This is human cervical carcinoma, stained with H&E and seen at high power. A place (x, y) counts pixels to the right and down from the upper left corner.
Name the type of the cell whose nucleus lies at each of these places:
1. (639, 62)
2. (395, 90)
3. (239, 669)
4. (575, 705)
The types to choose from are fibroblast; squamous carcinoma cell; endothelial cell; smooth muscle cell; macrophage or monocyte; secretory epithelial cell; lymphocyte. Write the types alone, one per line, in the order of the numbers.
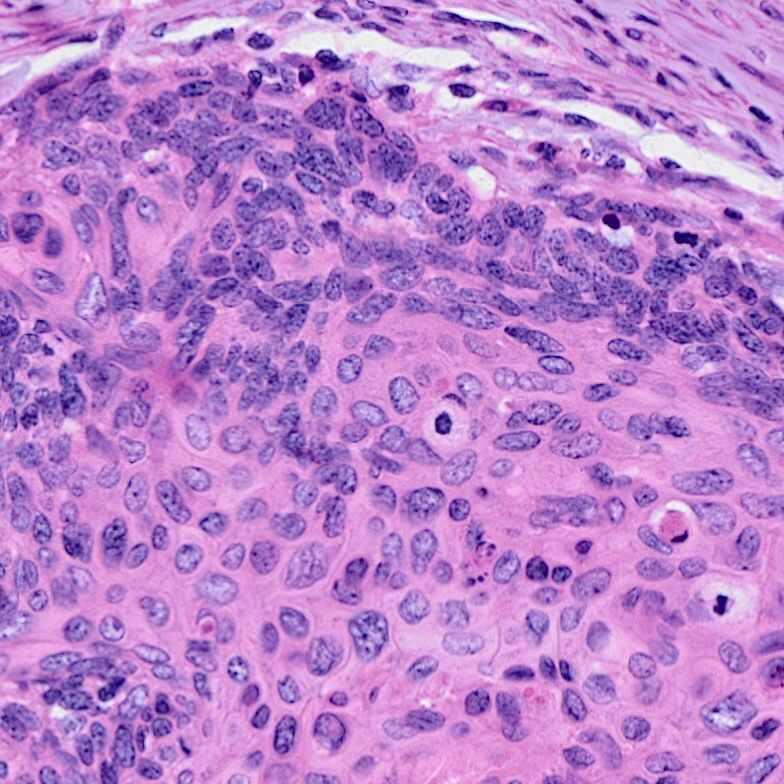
smooth muscle cell
lymphocyte
squamous carcinoma cell
squamous carcinoma cell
